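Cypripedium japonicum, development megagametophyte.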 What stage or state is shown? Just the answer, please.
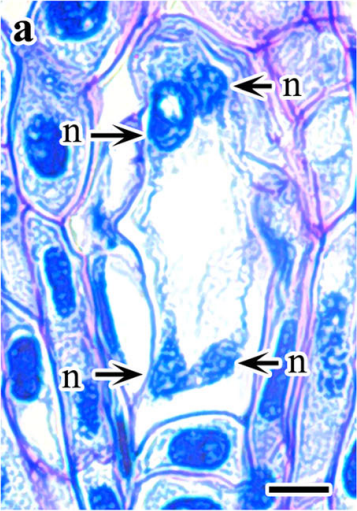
Four nucleate embryo sac.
